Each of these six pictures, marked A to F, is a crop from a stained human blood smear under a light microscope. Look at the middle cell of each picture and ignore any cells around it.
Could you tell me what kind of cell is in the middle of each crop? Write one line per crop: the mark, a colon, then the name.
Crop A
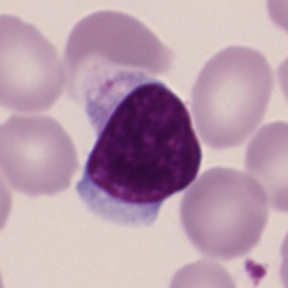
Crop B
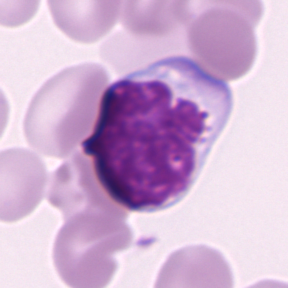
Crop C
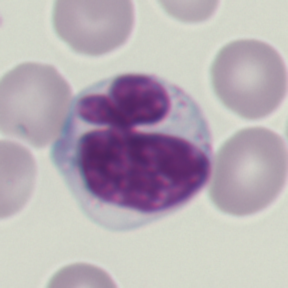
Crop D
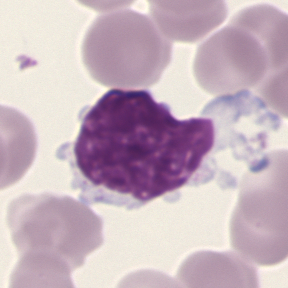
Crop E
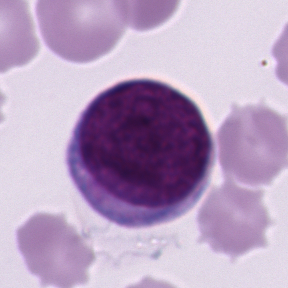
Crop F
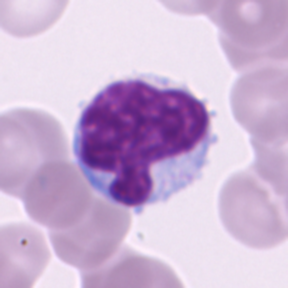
A: typical lymphocyte
B: large granular lymphocyte
C: large granular lymphocyte
D: large granular lymphocyte
E: blast
F: large granular lymphocyte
